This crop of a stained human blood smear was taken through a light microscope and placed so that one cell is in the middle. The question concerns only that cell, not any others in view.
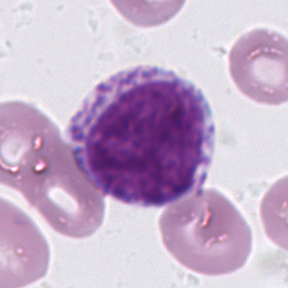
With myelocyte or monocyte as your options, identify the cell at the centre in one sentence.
In short, the cell at the center is a myelocyte.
